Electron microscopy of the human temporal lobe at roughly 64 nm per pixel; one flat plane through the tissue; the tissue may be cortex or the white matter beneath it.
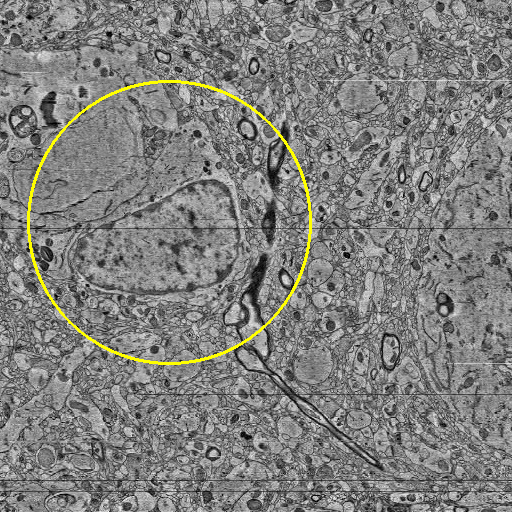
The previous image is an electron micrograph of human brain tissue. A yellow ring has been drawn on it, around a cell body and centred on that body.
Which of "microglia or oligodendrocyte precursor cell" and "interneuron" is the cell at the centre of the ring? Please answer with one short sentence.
The cell body at the centre of the ring belongs to a microglial cell or oligodendrocyte precursor cell.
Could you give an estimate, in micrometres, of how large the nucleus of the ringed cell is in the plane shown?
Approximately 10 x 7 micrometres in this plane.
